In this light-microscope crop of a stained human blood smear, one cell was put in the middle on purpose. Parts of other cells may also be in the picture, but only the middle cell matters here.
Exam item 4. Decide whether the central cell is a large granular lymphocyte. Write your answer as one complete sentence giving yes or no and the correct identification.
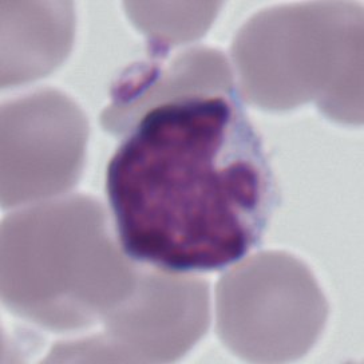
Yes, this is a large granular lymphocyte, the cell in the middle of the crop.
